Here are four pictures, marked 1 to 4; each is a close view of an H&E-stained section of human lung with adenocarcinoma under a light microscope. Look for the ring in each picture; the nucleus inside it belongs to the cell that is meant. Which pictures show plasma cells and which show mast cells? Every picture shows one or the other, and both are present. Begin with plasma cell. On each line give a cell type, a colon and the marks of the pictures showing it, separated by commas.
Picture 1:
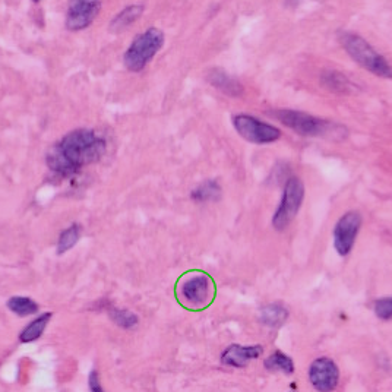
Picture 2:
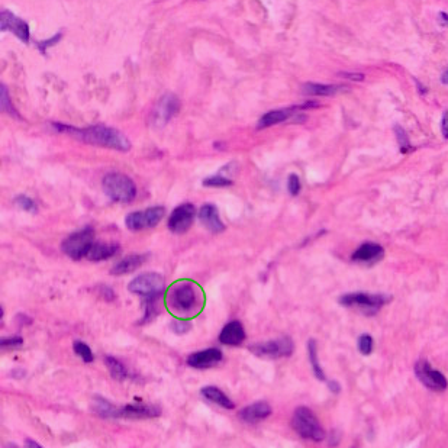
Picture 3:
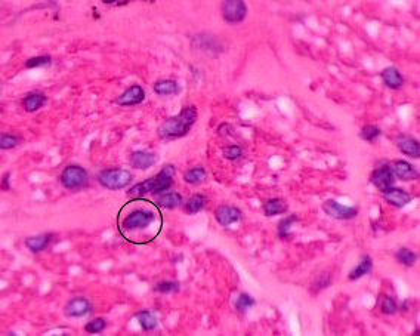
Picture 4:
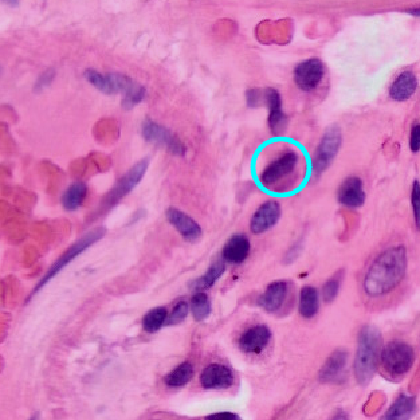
plasma cell: 2, 4
mast cell: 1, 3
